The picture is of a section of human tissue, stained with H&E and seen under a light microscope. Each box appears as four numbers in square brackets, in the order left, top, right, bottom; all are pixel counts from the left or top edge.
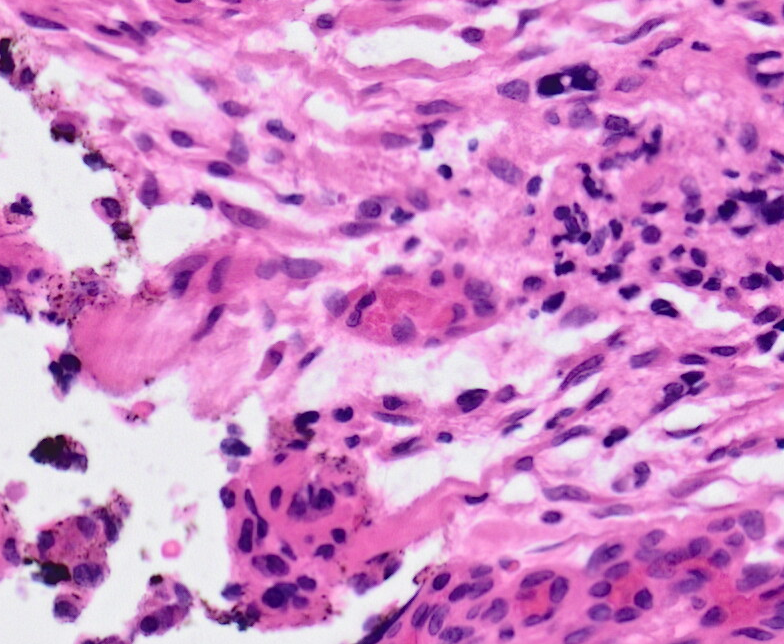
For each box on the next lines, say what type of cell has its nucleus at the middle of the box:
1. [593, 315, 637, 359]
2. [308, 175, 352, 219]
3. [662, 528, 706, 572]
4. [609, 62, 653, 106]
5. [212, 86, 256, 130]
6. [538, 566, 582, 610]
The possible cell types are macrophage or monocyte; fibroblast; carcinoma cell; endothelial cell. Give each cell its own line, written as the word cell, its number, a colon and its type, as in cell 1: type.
cell 1: fibroblast
cell 2: fibroblast
cell 3: endothelial cell
cell 4: fibroblast
cell 5: fibroblast
cell 6: endothelial cell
